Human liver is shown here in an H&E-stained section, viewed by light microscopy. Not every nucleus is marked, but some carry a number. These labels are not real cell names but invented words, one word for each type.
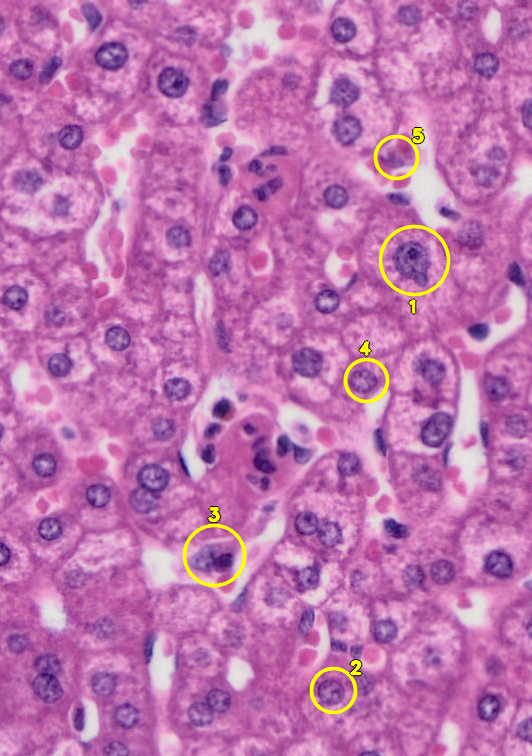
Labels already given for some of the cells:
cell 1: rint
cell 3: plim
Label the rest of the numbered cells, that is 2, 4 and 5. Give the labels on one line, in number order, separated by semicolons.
rint; rint; plim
